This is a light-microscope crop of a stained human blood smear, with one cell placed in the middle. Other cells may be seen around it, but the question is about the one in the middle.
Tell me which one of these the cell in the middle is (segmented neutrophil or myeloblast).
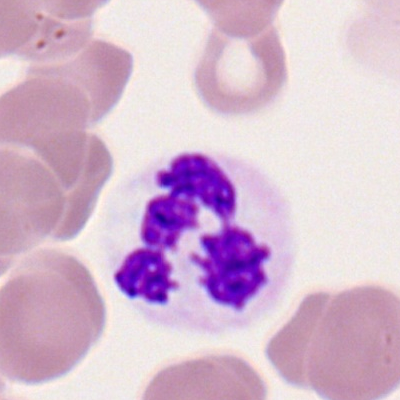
segmented neutrophil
